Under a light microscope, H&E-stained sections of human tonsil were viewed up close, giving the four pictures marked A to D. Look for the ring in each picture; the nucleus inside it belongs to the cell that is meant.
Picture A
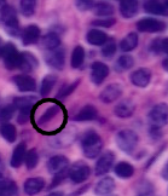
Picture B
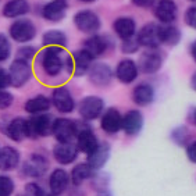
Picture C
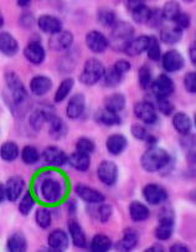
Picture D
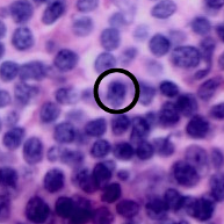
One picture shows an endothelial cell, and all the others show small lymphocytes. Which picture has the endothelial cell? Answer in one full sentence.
Picture A shows the endothelial cell.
